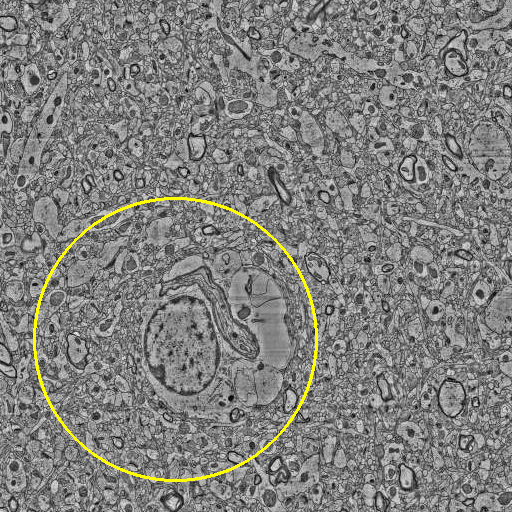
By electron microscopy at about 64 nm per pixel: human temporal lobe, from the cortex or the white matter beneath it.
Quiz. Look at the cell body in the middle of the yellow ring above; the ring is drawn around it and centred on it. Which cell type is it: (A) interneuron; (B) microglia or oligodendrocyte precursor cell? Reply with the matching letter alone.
B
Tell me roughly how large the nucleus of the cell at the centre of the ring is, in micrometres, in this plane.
Approximately 6 by 5 micrometers in this plane.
